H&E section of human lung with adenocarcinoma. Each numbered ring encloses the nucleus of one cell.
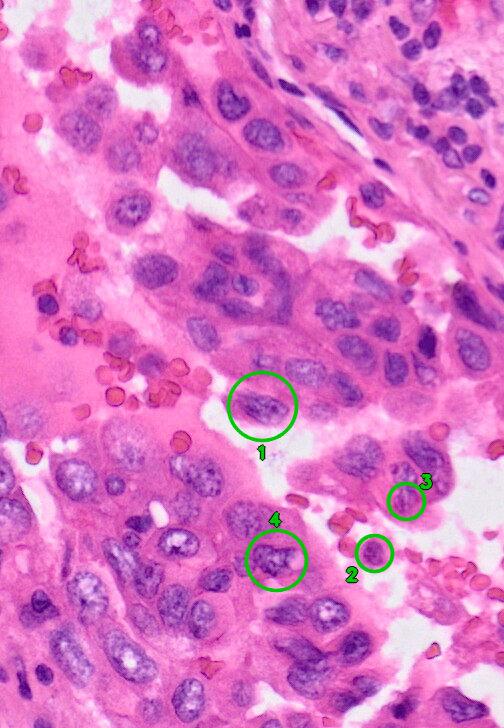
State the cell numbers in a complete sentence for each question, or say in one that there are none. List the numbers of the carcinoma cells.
The cells labelled 1, 3 and 4 in this section are carcinoma cells.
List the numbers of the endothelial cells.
None of the cells bearing numbers are endothelial cells.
